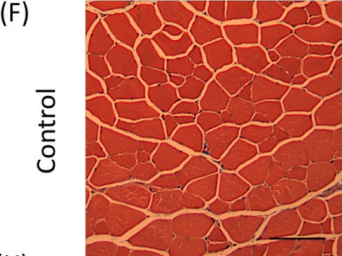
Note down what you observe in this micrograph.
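This is a cross-section of skeletal muscle with muscle fibers of regular morphology. The fibers are polygonal red profiles of fairly similar size, packed closely side by side. Thin pale clefts separate neighbouring fibers, and the staining across the fibers is uniform.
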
